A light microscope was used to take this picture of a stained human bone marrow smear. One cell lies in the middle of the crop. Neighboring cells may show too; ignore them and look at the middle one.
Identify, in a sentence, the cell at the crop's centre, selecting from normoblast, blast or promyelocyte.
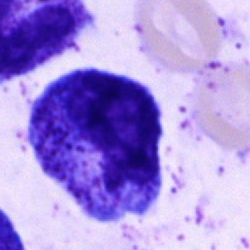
The center cell of this crop is a promyelocyte.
